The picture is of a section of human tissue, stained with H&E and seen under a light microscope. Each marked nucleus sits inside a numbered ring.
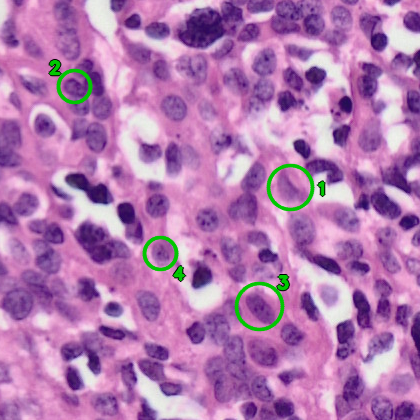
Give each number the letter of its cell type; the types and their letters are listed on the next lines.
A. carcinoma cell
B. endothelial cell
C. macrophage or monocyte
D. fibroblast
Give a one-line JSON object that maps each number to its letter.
{"1": "A", "2": "A", "3": "A", "4": "C"}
